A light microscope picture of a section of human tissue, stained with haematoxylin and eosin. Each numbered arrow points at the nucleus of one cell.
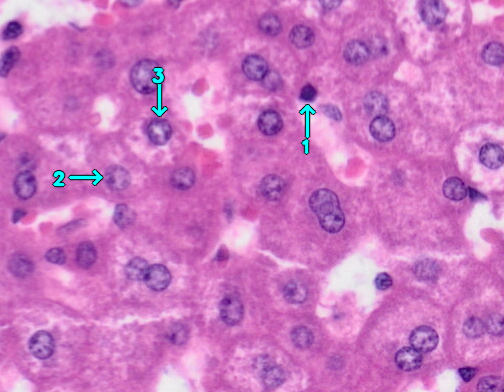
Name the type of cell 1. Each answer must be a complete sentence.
Belonging to a lymphocyte is the nucleus that carries the number 1.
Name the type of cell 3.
The nucleus with number 3 is that of a hepatocyte.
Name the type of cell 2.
The identity of cell 2 is that of a hepatocyte.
